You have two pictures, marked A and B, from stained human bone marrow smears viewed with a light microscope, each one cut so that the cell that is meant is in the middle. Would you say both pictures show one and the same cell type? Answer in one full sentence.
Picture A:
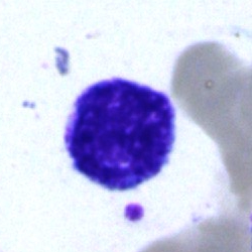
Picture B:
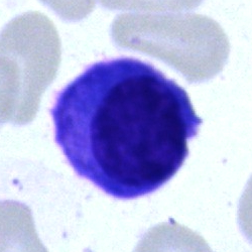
No, the types are not the same, since picture A shows a lymphocyte and picture B a plasma cell.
